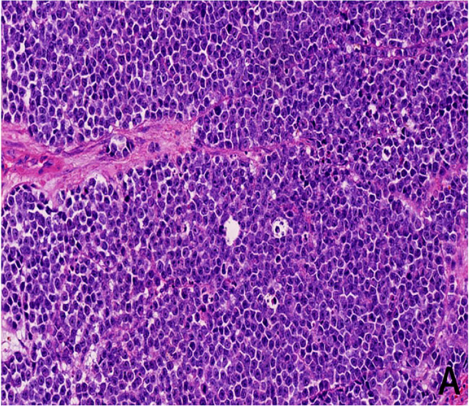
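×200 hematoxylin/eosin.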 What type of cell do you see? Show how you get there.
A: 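Sheets of densely packed cells with round nuclei. Cells are small with scant cytoplasm. Cells spread diffusely across the field, separated only by thin pink septa.
Hence: small round cells.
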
